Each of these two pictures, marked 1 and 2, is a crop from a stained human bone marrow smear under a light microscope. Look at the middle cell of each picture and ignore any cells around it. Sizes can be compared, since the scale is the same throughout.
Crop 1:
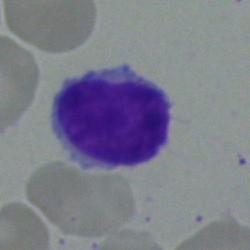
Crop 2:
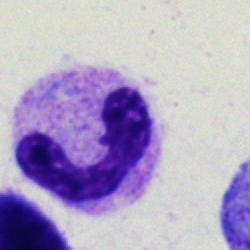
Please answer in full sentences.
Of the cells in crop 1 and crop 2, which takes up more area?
Larger is the cell in crop 2, at roughly 1.5 times the area of the other.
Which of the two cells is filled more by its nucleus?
In crop 1 the nucleus takes up the larger part of its cell.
